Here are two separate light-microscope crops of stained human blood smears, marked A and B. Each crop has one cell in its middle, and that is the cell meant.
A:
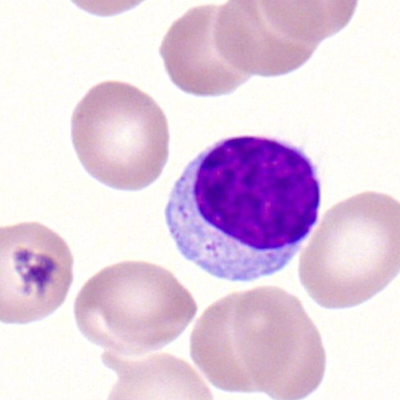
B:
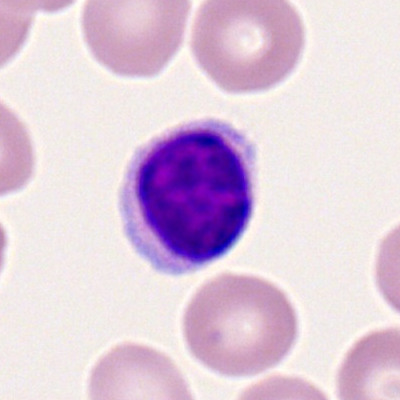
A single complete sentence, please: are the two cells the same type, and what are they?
Yes, both crops depict lymphocytes at the centre.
